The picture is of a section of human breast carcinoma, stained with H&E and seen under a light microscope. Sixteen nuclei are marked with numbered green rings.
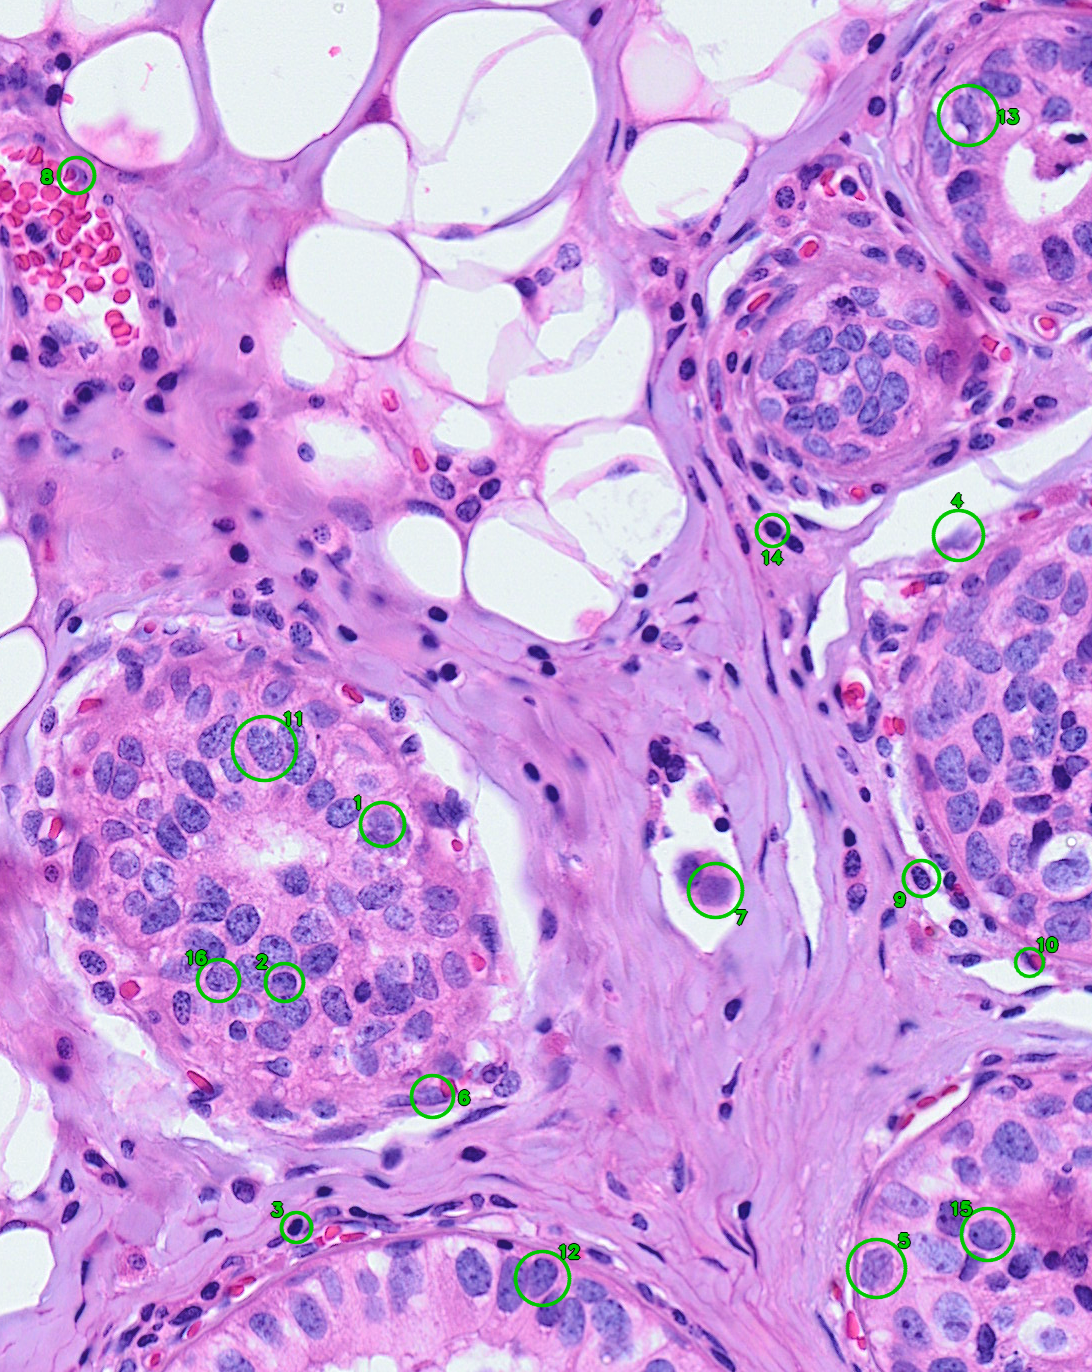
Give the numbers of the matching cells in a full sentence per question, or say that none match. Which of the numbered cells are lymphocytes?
The cells 3 and 14 in this section are lymphocytes.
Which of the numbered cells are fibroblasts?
Cell 4 is the single numbered cell that is a fibroblast.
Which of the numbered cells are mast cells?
Cell 9 is a mast cell, and that holds for no other numbered cell.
